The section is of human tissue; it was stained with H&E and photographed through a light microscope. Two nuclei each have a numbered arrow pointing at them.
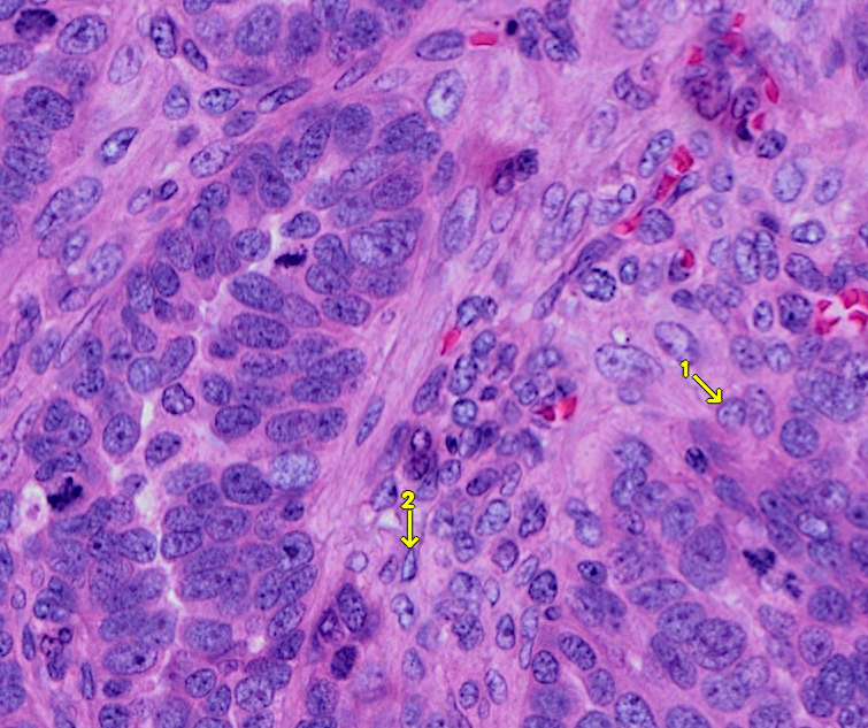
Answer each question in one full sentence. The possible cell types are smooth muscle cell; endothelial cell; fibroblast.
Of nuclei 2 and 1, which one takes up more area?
Nucleus 1 is the larger one, covering about 1.5 times the area of nucleus 2.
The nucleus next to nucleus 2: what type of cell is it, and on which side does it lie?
It is a fibroblast, whose nucleus lies to the left of nucleus 2.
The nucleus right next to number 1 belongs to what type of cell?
The cell nearest to number 1 is a fibroblast.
